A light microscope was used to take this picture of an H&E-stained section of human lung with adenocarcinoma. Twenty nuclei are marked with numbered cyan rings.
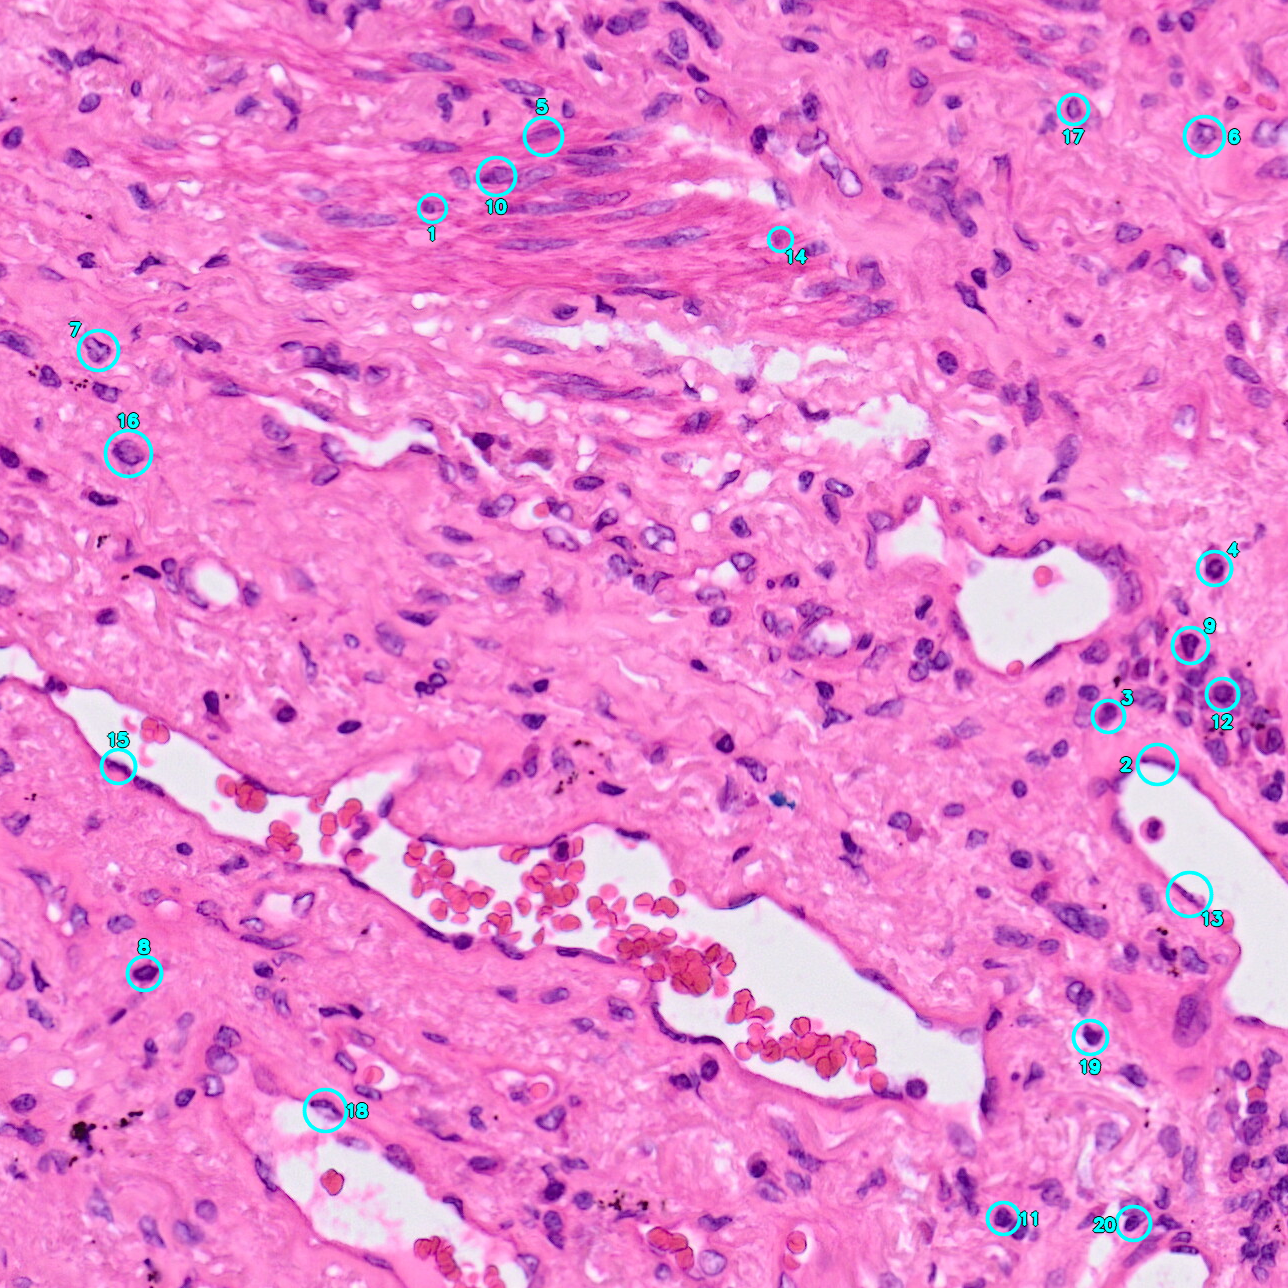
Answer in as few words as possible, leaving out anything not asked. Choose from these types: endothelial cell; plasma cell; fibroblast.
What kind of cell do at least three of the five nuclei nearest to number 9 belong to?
plasma cell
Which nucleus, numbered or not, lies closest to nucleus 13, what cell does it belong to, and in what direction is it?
a fibroblast to the left of nucleus 13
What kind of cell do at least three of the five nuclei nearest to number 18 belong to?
endothelial cell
